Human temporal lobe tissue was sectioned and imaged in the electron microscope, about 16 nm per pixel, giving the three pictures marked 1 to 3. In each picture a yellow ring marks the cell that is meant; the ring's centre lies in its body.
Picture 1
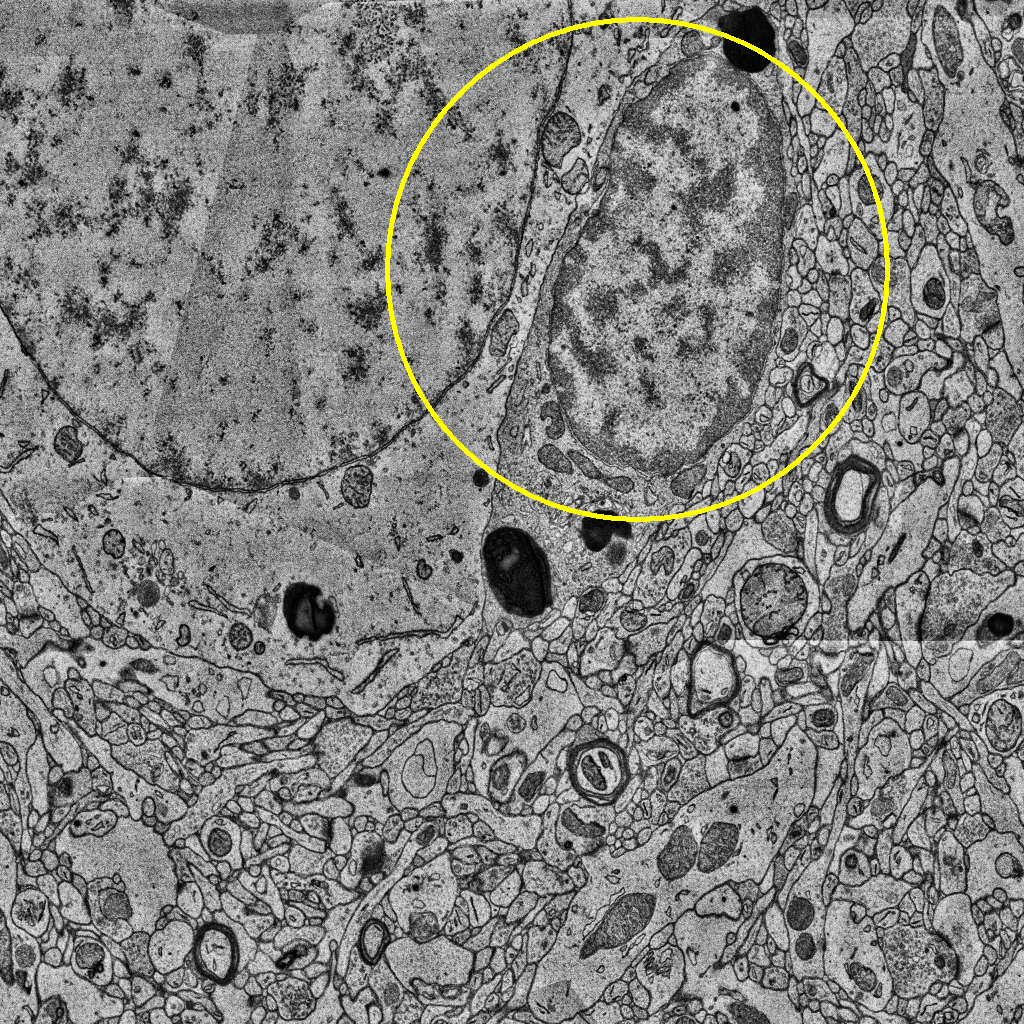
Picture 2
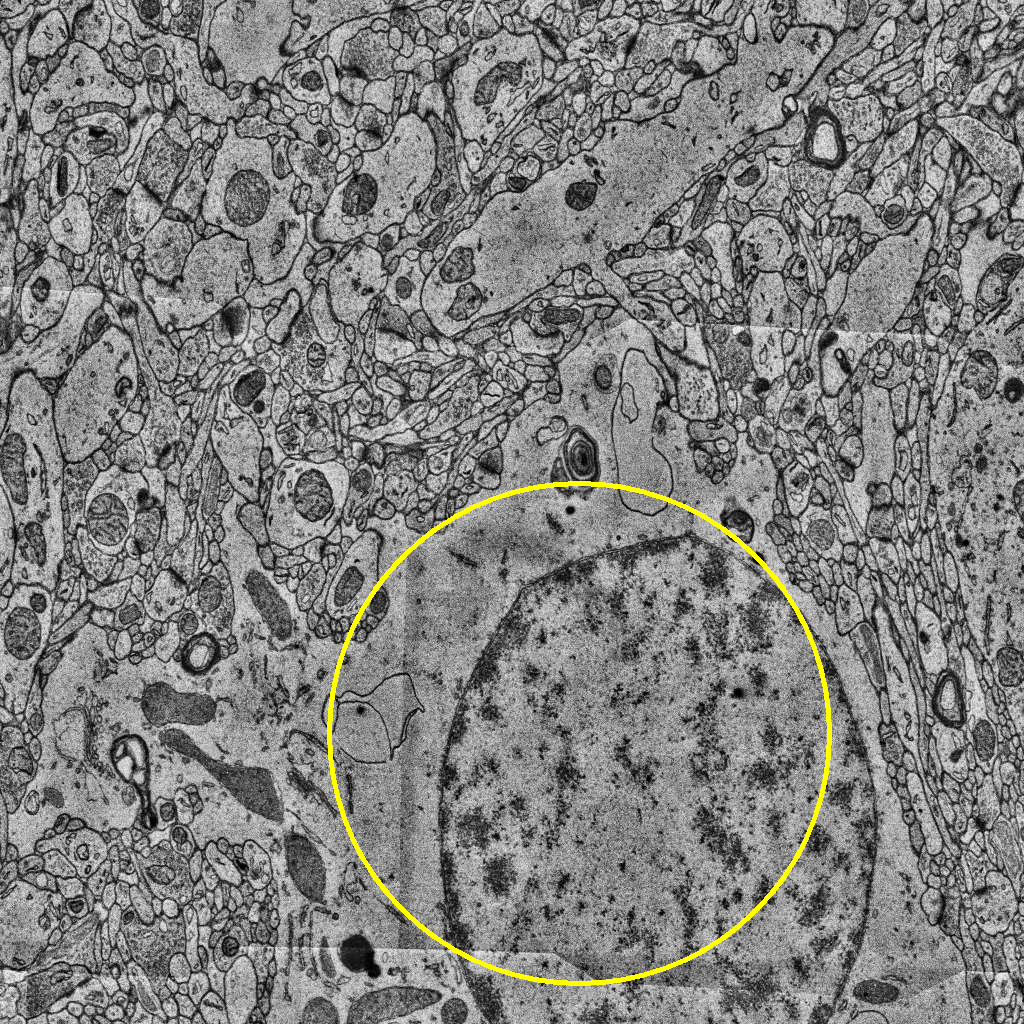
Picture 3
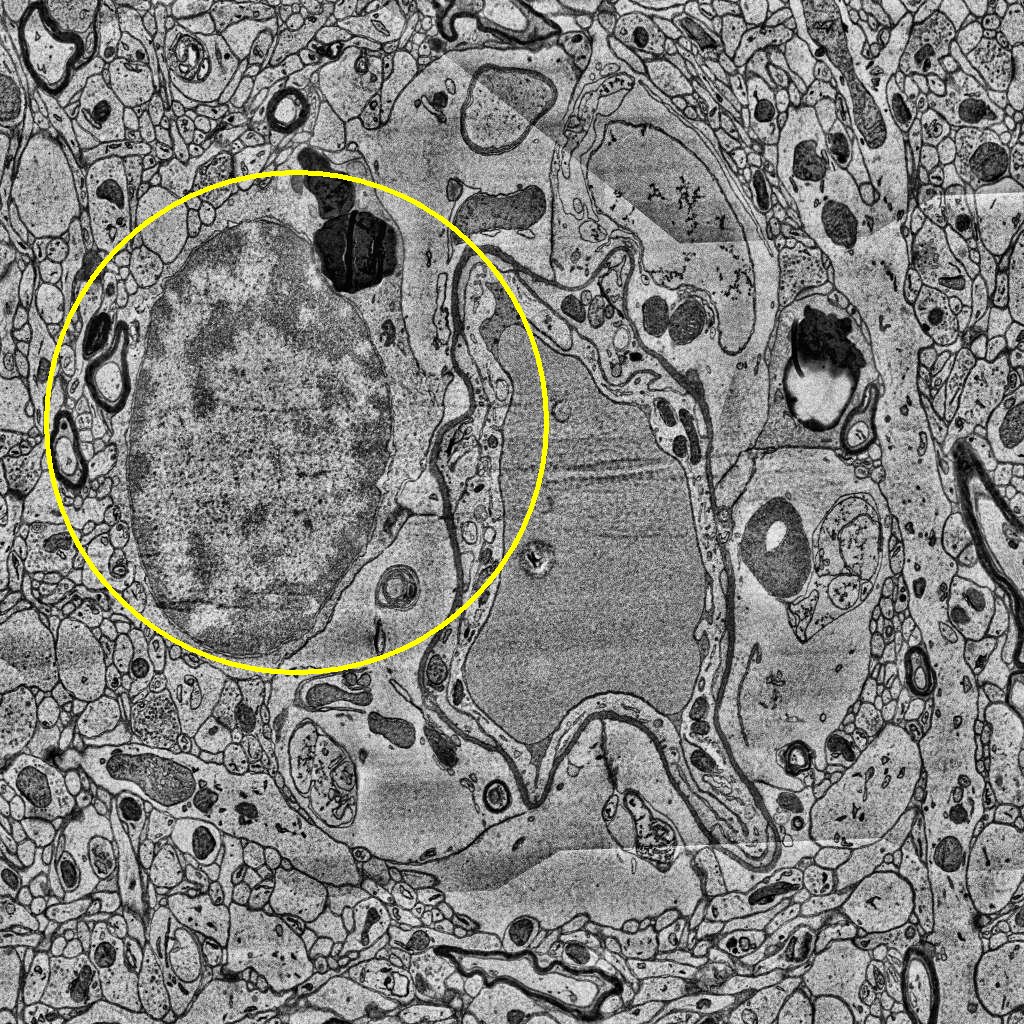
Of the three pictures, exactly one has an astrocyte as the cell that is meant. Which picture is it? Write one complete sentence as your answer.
The cell in picture 2 is the astrocyte.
